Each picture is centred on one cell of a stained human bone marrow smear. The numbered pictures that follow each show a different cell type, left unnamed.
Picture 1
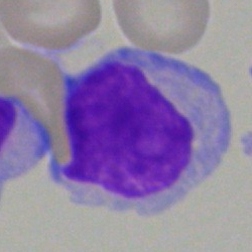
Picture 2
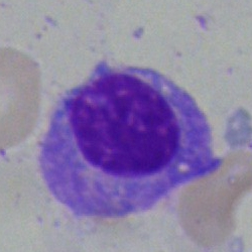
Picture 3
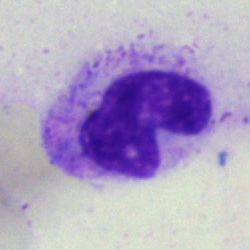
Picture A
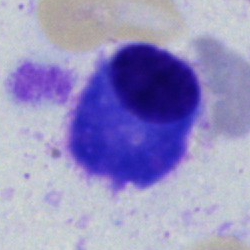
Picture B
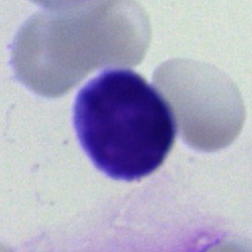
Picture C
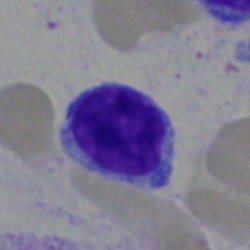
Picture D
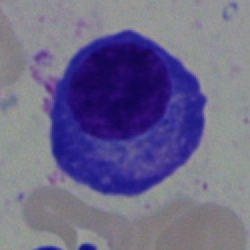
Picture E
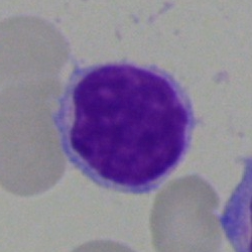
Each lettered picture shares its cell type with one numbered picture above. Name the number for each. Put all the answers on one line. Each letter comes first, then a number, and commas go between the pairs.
A 2, B 1, C 1, D 2, E 1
